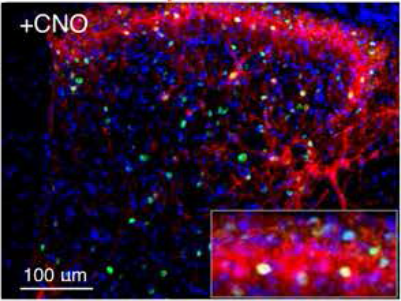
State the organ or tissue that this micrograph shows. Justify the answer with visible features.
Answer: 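Spinal cord. A curved edge of grey matter with a dense band of red labelling along its superficial margin. Many small blue nuclei packed through the tissue.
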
